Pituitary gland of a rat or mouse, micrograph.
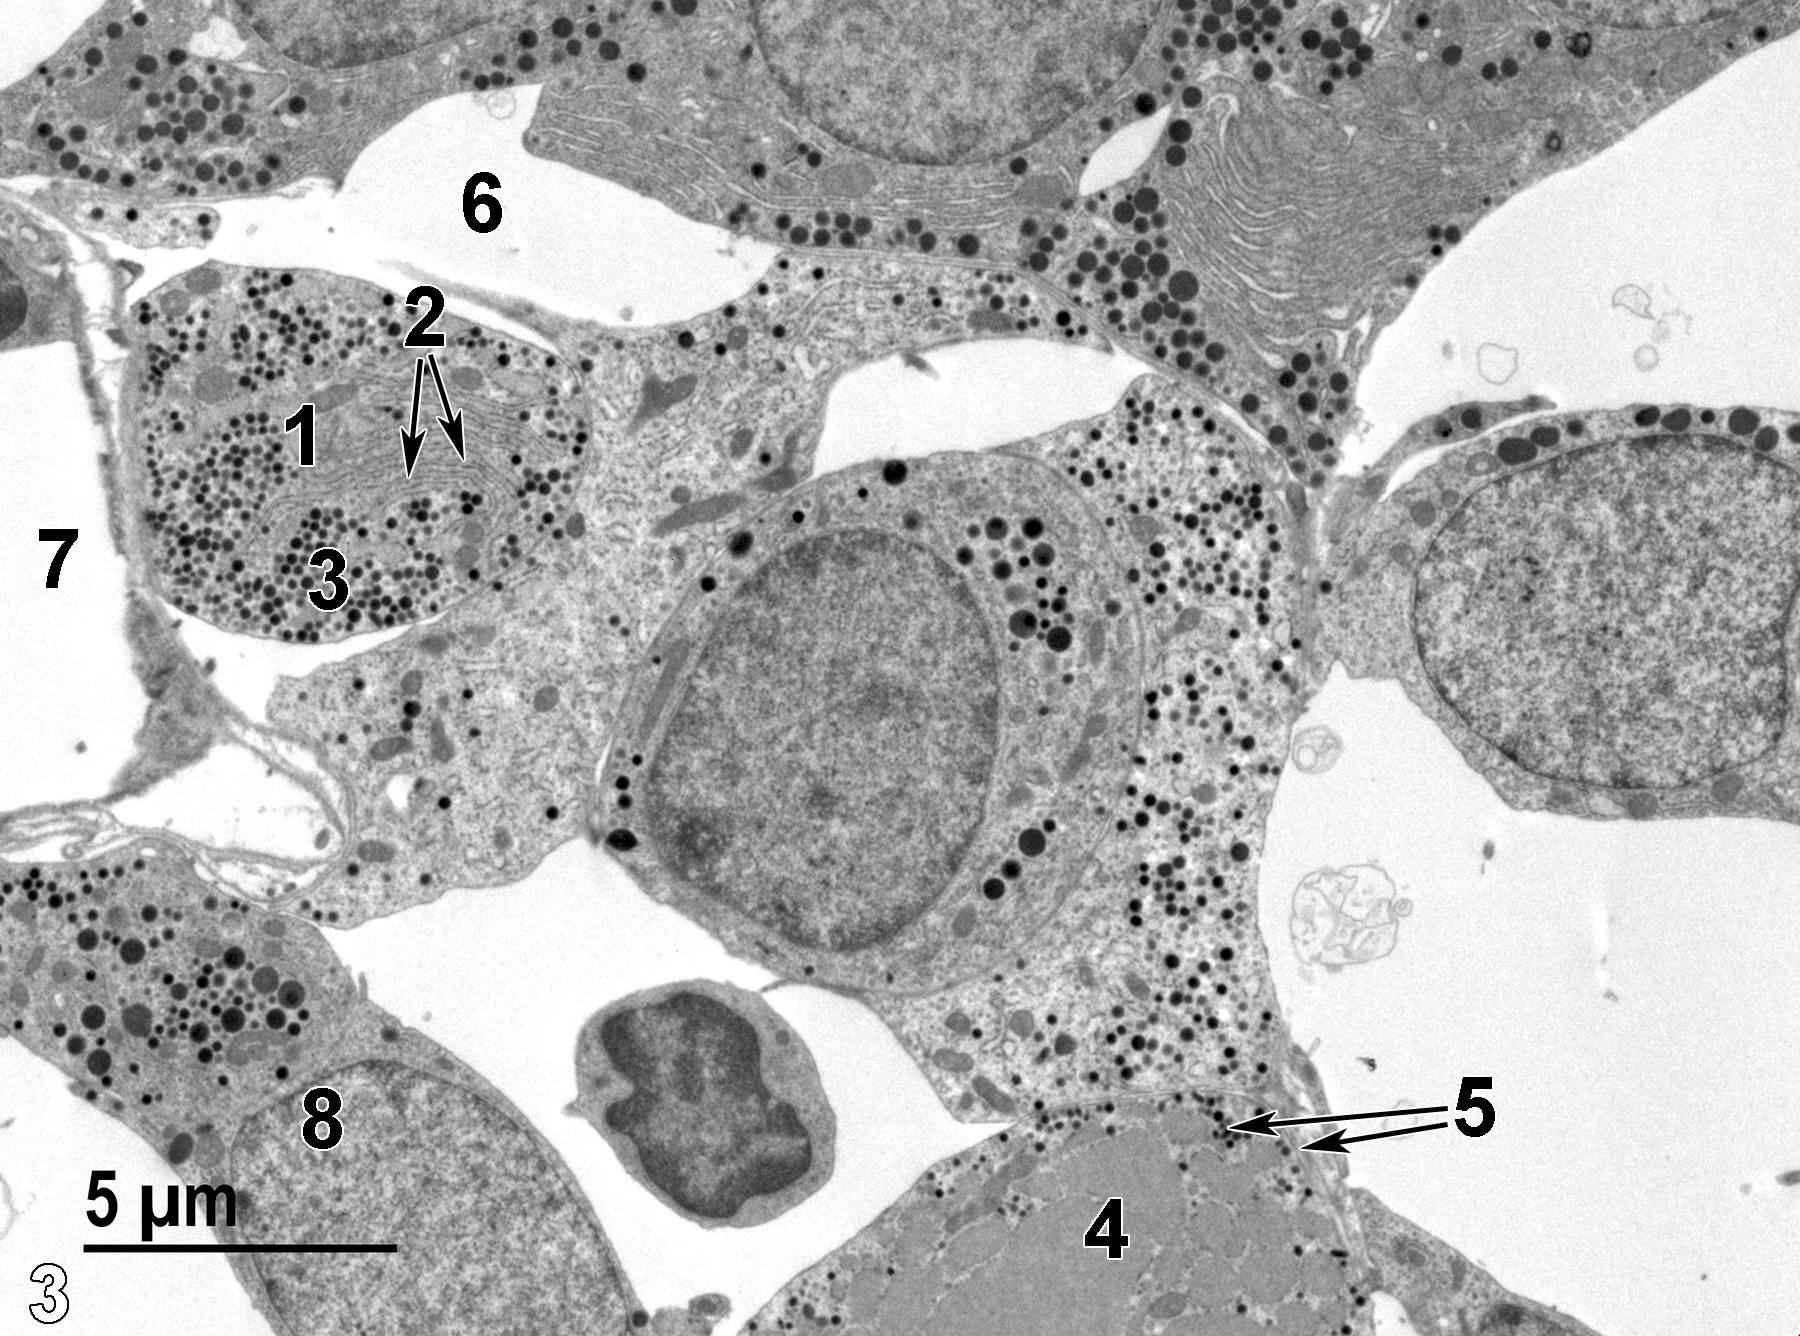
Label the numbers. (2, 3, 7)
2 rough endoplasmic reticulum
3 secretory granules
7 capillary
